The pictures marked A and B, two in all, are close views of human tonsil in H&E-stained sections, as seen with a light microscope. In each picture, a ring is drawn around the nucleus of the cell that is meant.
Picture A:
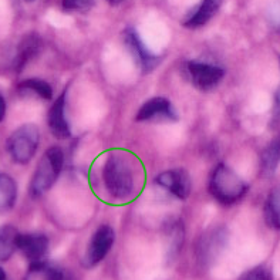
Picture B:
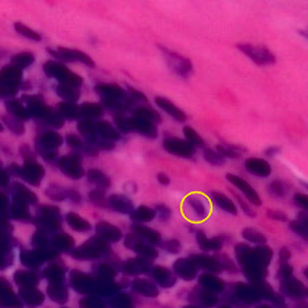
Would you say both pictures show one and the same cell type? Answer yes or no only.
no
